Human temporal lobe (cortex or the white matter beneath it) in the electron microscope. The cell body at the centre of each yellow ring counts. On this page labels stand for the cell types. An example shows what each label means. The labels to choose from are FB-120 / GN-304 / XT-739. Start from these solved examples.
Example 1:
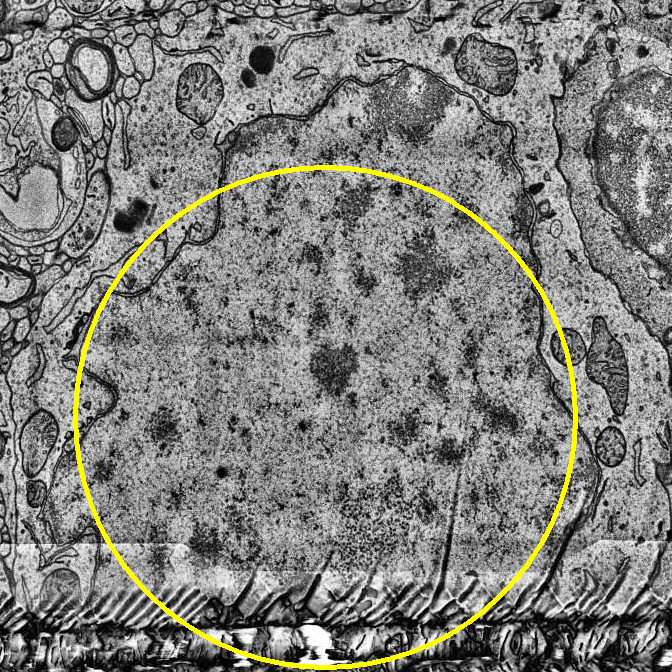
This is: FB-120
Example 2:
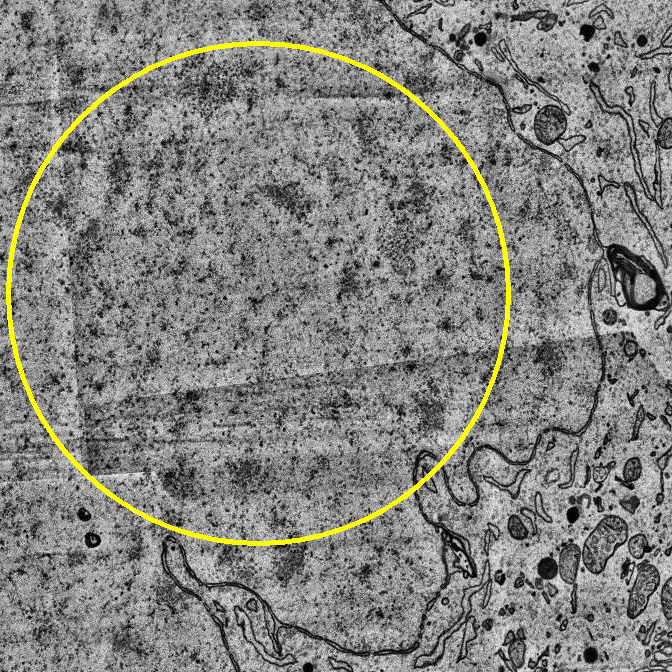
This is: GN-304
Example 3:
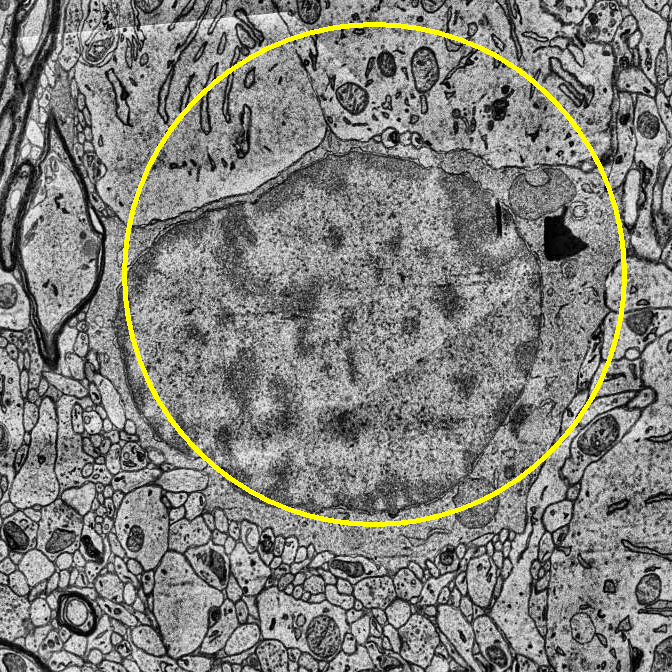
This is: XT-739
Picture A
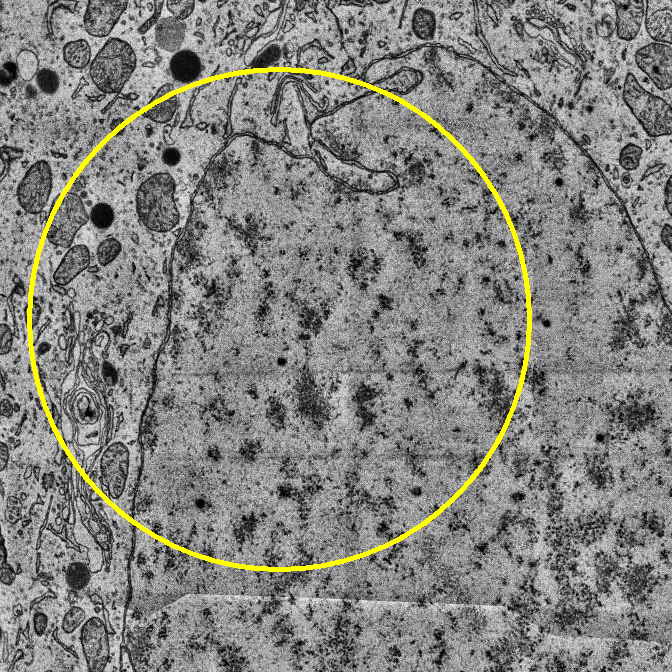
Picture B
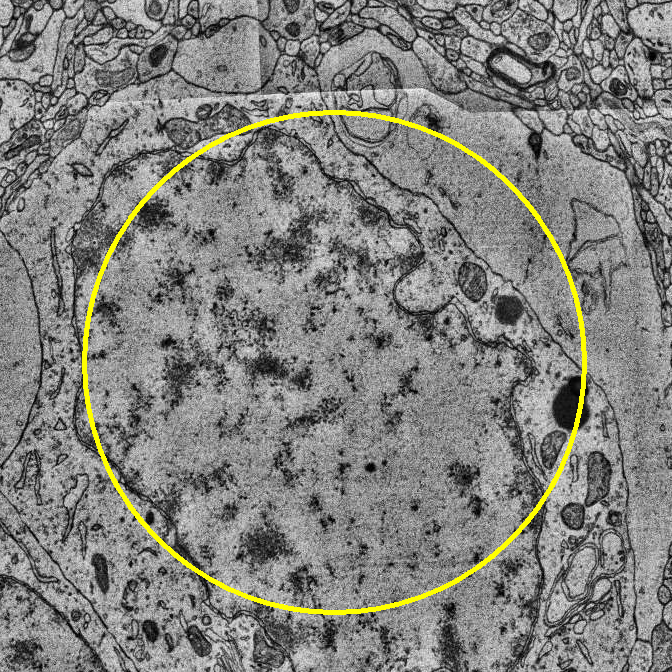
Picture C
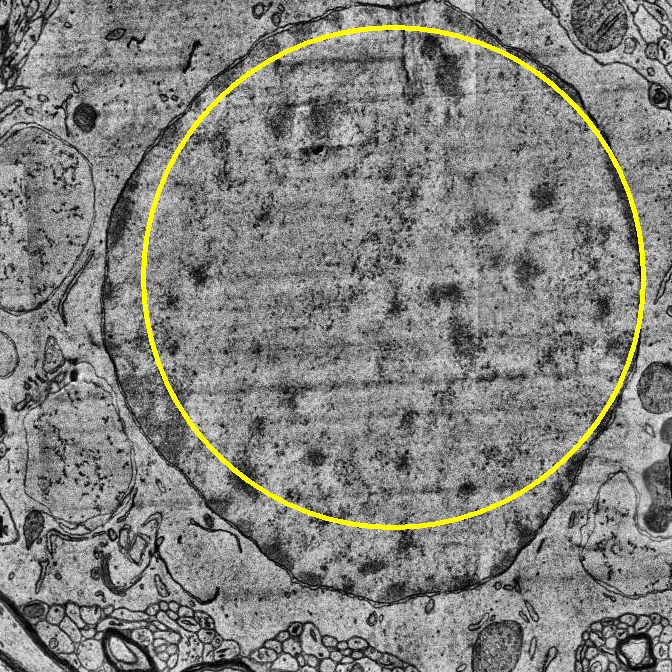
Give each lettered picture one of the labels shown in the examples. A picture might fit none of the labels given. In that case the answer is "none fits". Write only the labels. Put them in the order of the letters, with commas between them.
FB-120, FB-120, none fits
